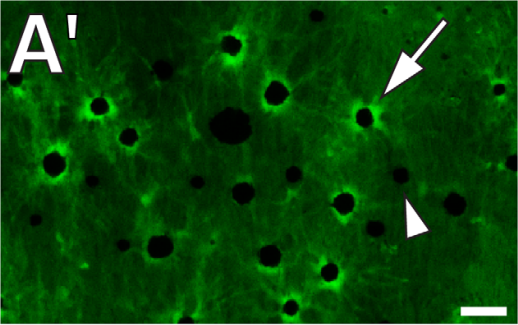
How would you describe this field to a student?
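The bodies vary in size and lie scattered singly over a dimmer green field with a faintly fibrous texture. Many of the black bodies are ringed by a bright green halo, with thin green strands running outwards from them. A few black bodies have no such green rim.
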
